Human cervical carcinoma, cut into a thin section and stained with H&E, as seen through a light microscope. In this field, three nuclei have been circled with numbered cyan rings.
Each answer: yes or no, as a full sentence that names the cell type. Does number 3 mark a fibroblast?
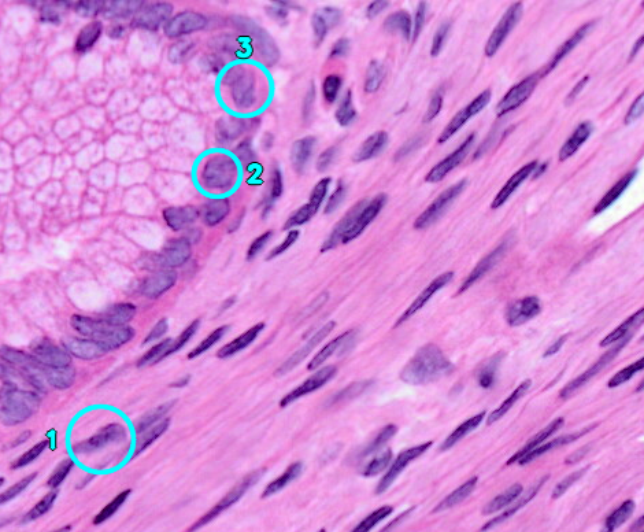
No, that is wrong: cell 3 is a secretory epithelial cell, and not a fibroblast.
